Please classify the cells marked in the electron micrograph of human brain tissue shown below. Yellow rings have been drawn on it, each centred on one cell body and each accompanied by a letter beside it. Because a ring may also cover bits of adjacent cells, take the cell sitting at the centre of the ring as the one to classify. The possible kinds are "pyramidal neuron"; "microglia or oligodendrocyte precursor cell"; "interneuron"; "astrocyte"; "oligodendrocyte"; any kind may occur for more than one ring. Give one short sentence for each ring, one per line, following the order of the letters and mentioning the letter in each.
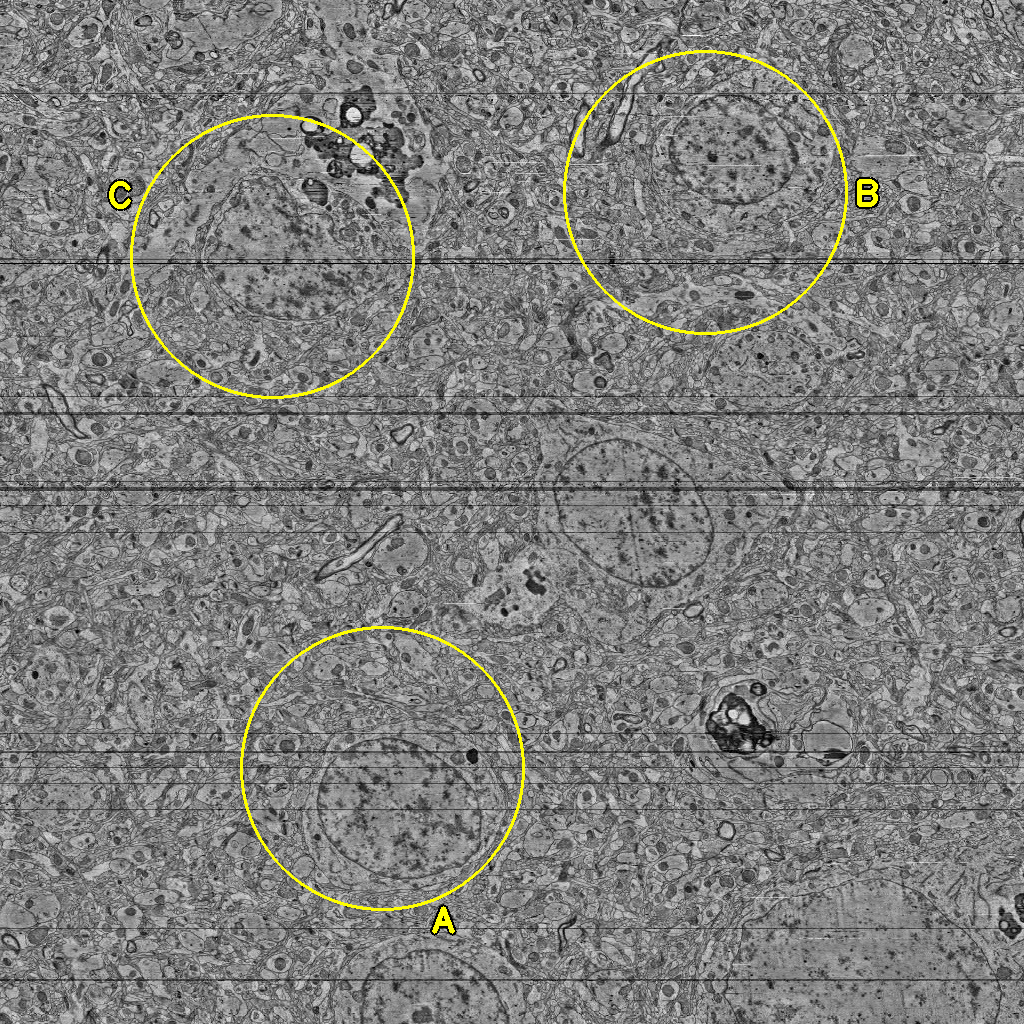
Ring A marks the cell body of a pyramidal neuron.
Ring B marks the cell body of a pyramidal neuron.
Ring C marks the cell body of an interneuron.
